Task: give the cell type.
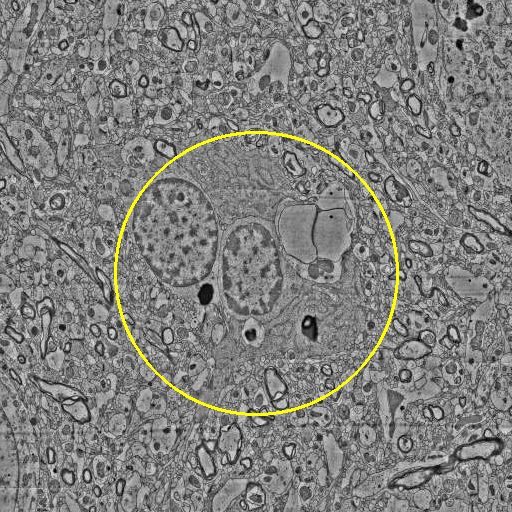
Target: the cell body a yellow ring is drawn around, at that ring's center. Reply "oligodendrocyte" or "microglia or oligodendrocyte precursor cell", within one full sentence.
In this picture, the cell whose body lies at the ring's center is an oligodendrocyte.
